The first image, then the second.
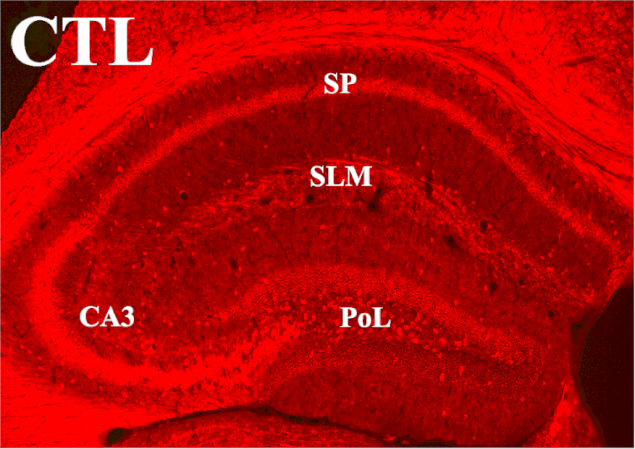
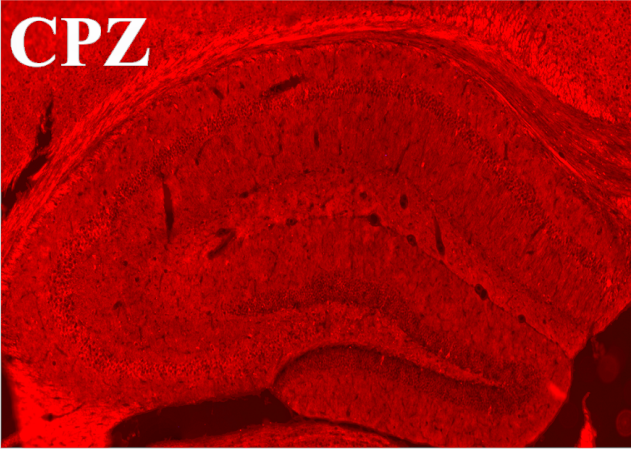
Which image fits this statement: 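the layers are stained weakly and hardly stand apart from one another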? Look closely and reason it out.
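Second image: red staining is dim and fairly even, with the curved layers faint. First image: red staining is bright, with the curved layers standing out sharply.
Answer: the second image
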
